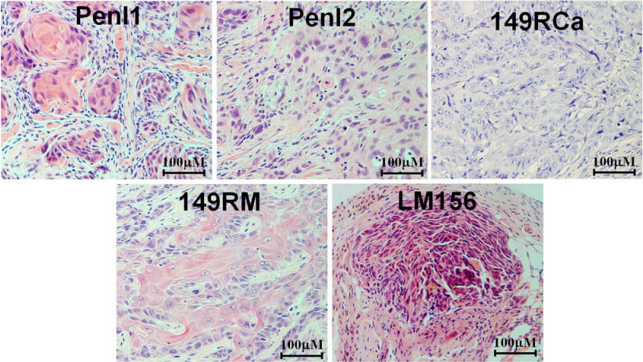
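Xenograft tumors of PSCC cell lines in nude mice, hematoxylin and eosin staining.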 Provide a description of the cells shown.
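In one field the tumour cells form rounded nests whose centres hold concentric layers of bright pink, eosinophilic material, set in a paler strand-like stroma. Another field shows broad sheets of pink, glassy material among the tumour cells. One field is made of loosely arranged, elongated to polygonal cells with pale cytoplasm and little pink material. One field is densely cellular and strongly stained, with crowded dark nuclei arranged in a whorl-like mass.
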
